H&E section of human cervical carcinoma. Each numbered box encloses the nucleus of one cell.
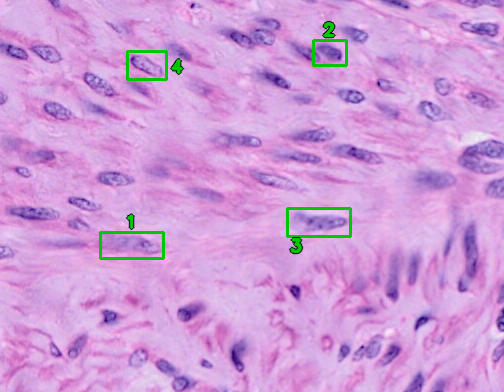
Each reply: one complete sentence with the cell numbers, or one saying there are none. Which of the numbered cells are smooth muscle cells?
The cells which carry the numbers 1, 2 and 4 are smooth muscle cells.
